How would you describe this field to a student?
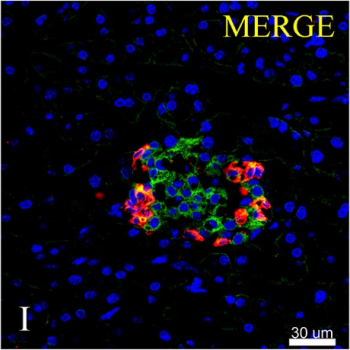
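A small, irregular pancreatic islet lies in the middle of surrounding tissue with scattered blue nuclei. Red-stained cells sit at the edges of the islet, several with yellow where red and green overlap. The central cells of the islet show green staining along their borders, around round blue nuclei.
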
